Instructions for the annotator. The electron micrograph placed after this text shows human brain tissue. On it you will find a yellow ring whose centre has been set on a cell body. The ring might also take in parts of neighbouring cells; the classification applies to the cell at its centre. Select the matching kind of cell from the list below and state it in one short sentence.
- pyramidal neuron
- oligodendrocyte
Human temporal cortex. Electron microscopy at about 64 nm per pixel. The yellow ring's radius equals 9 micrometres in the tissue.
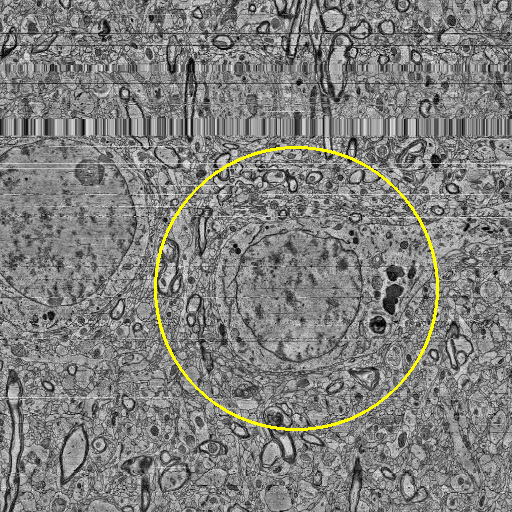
The ring is drawn on the cell body of a pyramidal neuron.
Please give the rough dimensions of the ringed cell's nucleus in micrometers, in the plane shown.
The nucleus of the ringed cell is approximately 9 micrometres across in this plane.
